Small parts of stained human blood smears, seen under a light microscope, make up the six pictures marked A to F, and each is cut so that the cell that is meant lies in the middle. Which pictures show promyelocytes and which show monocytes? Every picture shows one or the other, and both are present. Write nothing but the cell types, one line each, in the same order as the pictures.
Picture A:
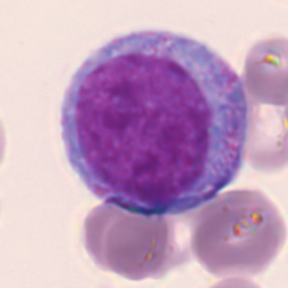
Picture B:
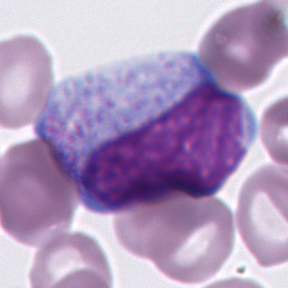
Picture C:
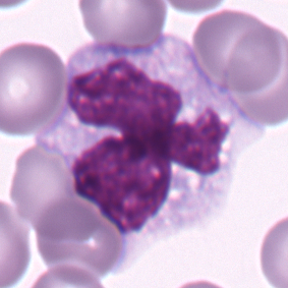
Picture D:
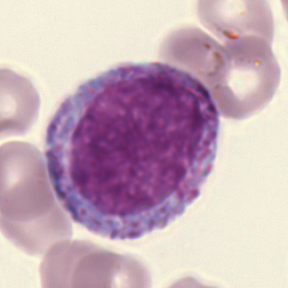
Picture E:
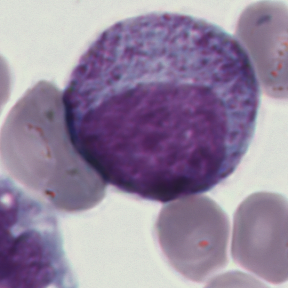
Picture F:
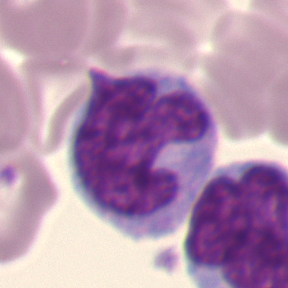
promyelocyte
promyelocyte
monocyte
promyelocyte
promyelocyte
monocyte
